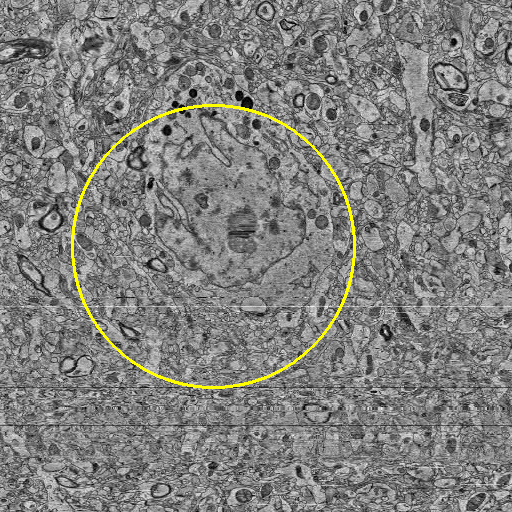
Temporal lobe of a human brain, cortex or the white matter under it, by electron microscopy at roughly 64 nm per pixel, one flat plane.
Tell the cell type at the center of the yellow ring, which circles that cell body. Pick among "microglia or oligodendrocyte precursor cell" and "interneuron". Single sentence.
The ring is centered on the body of an interneuron.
